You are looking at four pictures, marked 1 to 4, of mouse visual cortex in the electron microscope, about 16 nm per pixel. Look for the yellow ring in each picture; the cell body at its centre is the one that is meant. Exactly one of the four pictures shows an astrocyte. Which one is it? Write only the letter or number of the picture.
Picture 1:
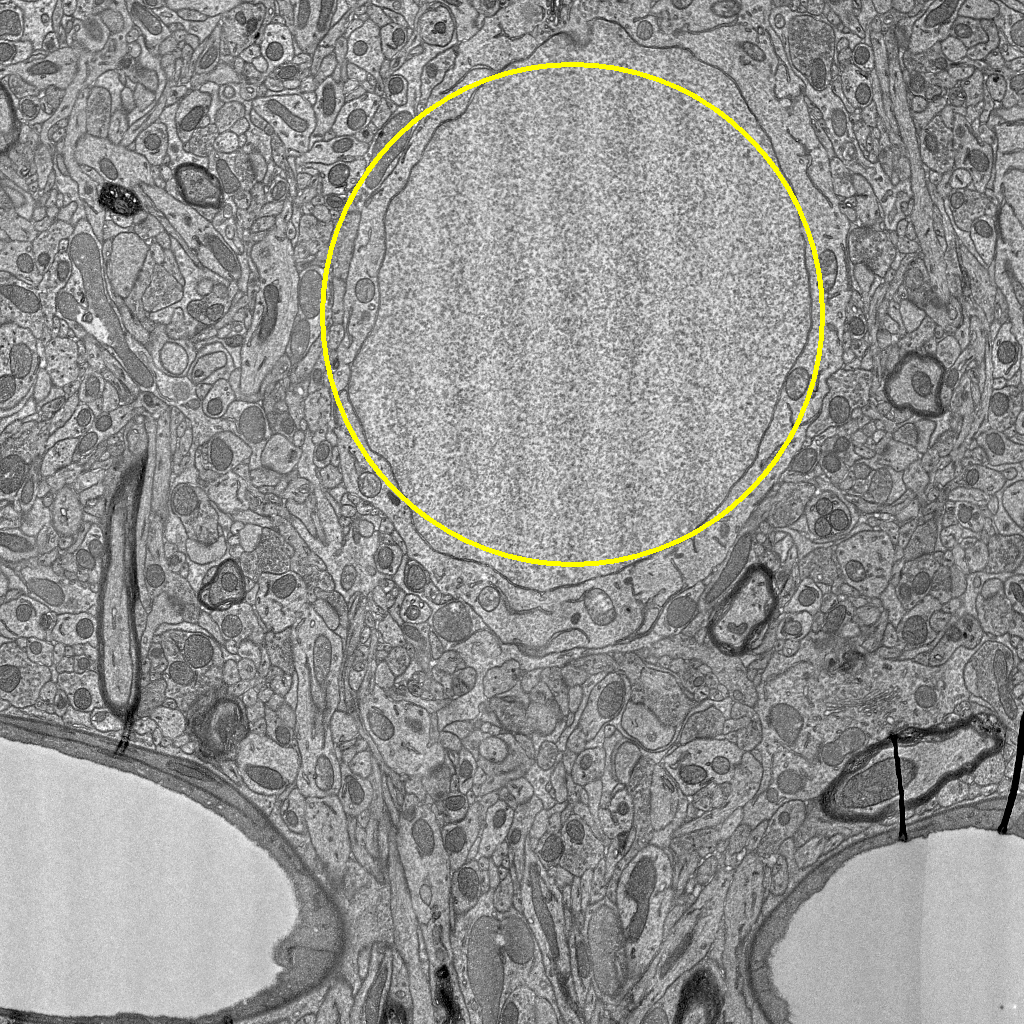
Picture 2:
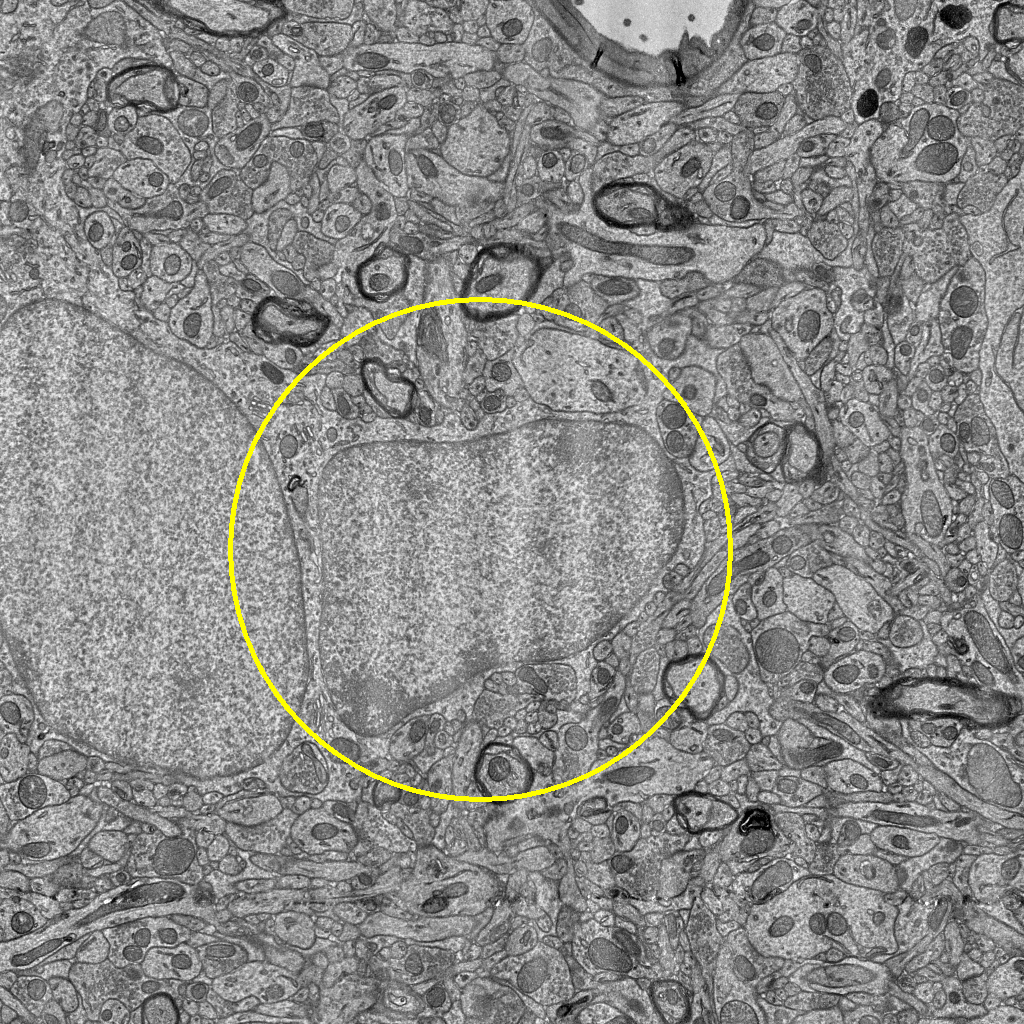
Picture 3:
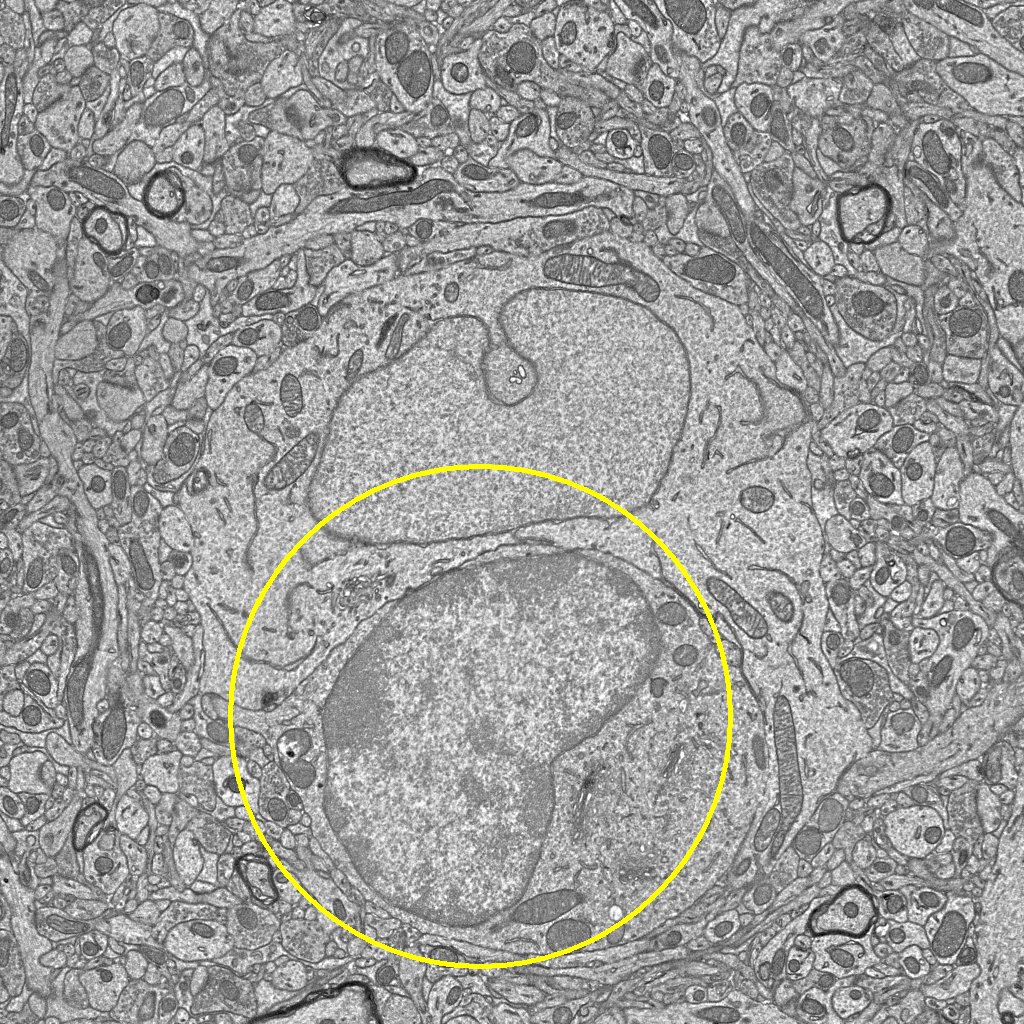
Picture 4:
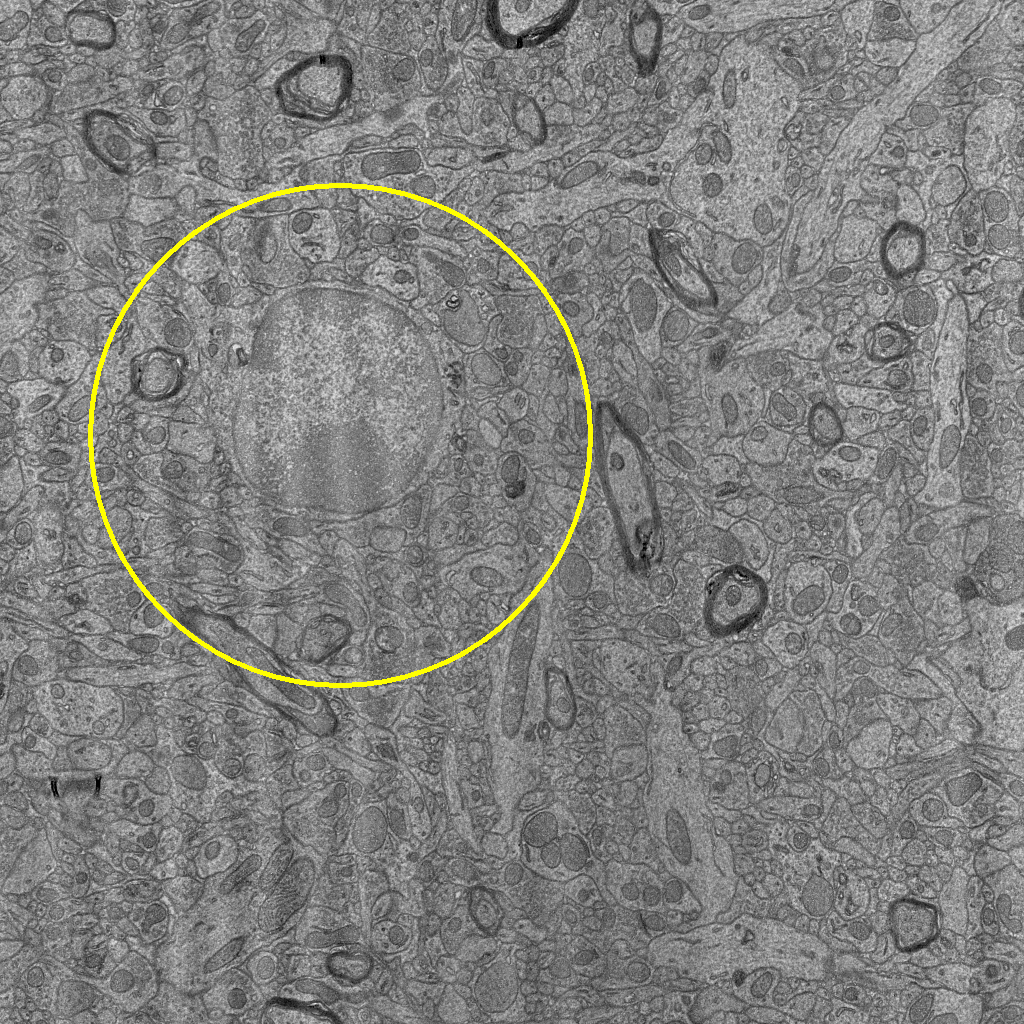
2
